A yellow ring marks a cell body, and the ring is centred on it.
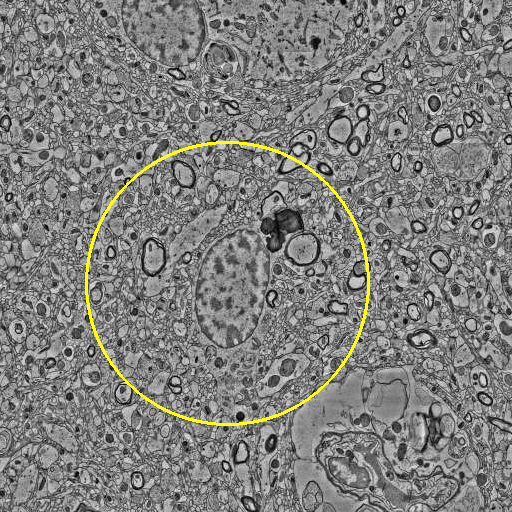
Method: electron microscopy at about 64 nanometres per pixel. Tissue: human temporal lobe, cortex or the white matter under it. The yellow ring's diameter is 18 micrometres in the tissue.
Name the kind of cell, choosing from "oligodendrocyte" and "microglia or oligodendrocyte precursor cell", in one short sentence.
The marked cell body belongs to an oligodendrocyte.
